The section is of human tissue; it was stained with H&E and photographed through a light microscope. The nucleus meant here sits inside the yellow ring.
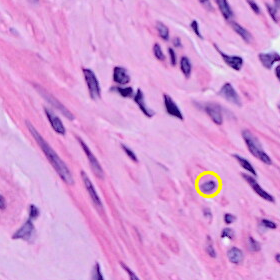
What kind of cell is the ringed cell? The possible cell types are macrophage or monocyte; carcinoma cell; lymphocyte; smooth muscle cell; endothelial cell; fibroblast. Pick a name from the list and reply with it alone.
smooth muscle cell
